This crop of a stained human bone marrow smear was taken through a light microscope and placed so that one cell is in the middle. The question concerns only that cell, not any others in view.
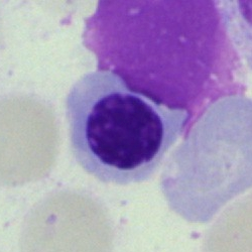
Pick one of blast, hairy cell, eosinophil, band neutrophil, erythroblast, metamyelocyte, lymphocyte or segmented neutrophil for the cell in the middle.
erythroblast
